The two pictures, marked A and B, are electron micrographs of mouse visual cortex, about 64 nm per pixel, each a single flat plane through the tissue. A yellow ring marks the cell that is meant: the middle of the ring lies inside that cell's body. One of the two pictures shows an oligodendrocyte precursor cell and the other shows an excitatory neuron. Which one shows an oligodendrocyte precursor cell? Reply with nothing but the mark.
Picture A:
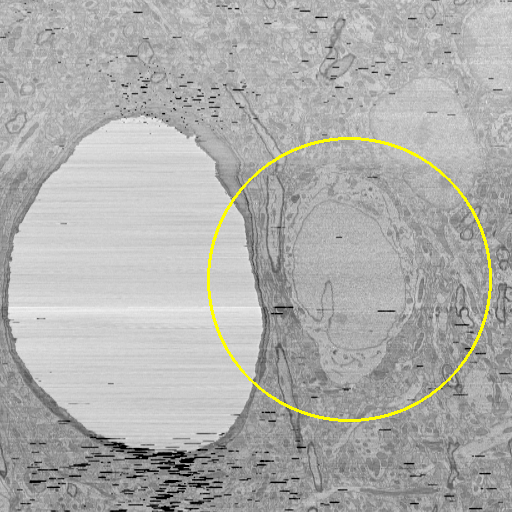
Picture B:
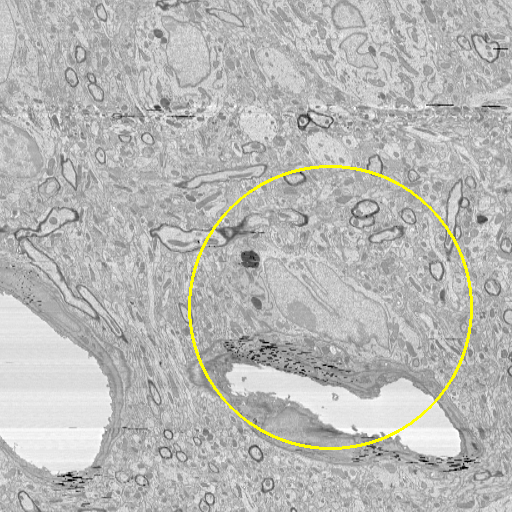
B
